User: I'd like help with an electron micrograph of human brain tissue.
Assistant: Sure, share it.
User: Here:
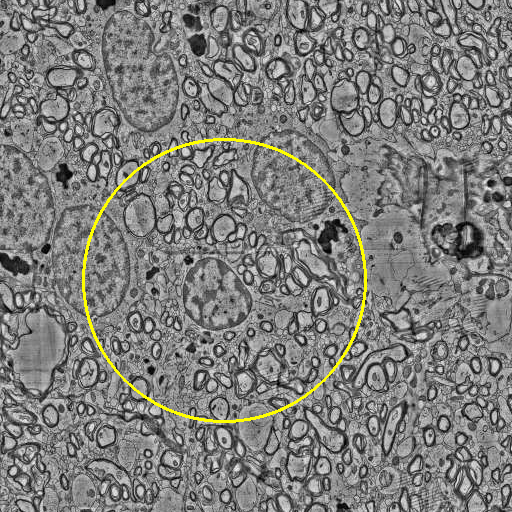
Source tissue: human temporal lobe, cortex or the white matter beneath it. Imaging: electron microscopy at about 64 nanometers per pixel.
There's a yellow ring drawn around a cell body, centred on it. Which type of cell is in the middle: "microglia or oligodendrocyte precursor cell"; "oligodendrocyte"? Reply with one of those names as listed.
microglia or oligodendrocyte precursor cell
